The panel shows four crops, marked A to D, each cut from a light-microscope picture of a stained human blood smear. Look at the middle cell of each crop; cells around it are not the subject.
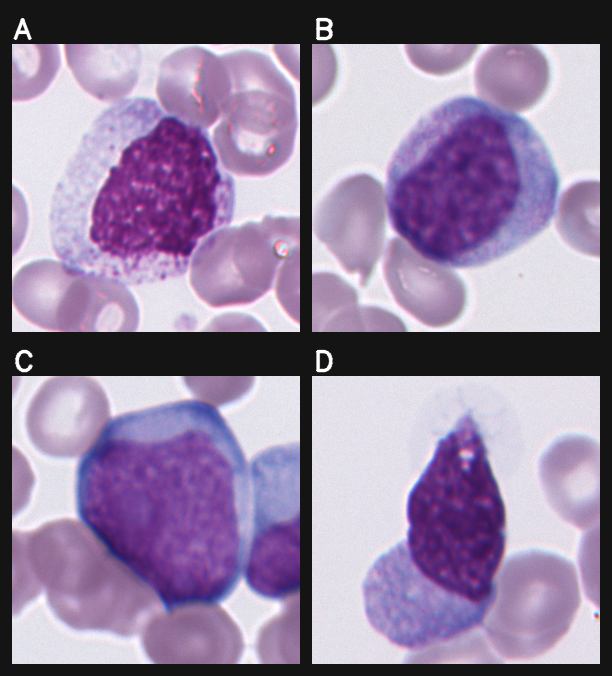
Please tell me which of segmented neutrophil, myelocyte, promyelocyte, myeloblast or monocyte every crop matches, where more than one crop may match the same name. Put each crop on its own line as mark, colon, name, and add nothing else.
A: myelocyte
B: promyelocyte
C: myeloblast
D: monocyte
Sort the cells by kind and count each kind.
myelocyte: 1
promyelocyte: 1
myeloblast: 1
monocyte: 1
